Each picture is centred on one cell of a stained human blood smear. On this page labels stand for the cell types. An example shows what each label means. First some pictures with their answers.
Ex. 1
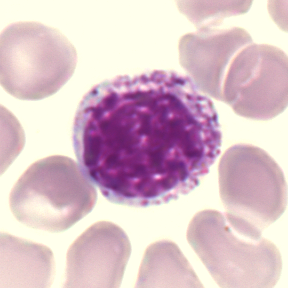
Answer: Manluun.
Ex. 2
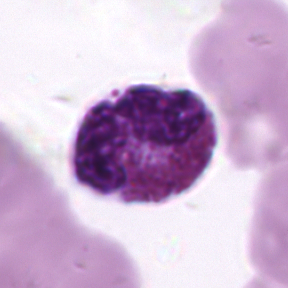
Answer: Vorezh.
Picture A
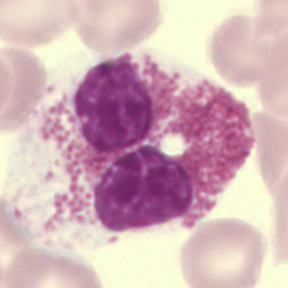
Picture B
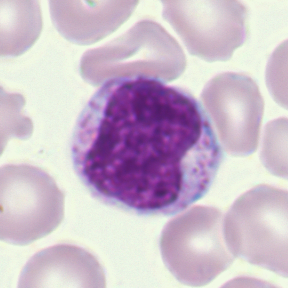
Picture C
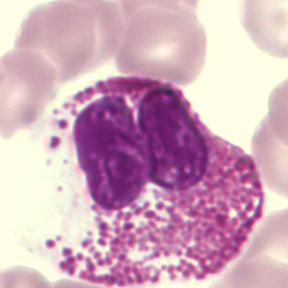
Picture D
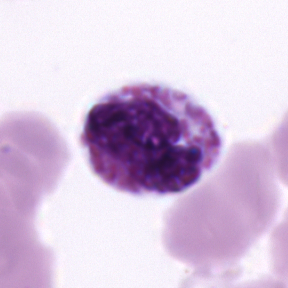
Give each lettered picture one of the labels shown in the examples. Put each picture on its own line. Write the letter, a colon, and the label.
A: Vorezh.
B: Manluun.
C: Vorezh.
D: Vorezh.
